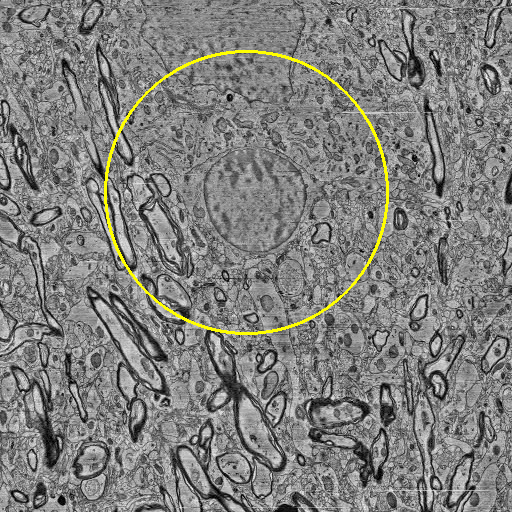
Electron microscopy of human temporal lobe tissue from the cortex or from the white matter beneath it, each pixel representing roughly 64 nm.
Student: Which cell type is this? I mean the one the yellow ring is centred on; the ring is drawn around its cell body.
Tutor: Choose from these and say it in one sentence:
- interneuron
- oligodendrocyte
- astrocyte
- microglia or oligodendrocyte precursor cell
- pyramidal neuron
The cell the ring is centred on is an oligodendrocyte.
